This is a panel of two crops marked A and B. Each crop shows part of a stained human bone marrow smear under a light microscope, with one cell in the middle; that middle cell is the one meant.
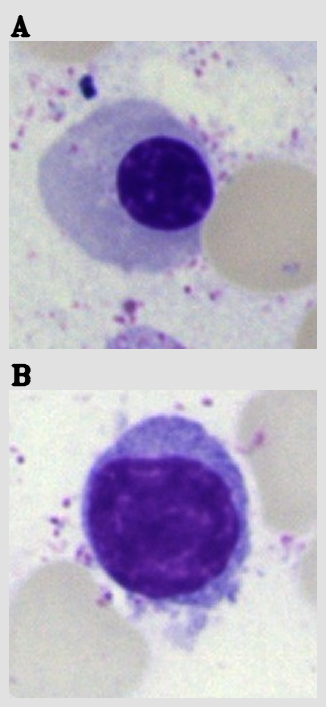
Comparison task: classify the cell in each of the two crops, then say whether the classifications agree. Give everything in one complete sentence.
No, crop A features an erythroblast, and crop B features a lymphocyte.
